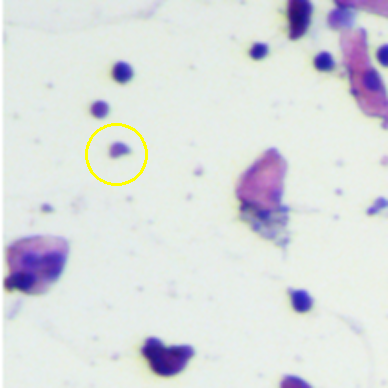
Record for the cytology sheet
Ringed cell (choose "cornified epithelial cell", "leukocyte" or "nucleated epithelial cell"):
leukocyte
